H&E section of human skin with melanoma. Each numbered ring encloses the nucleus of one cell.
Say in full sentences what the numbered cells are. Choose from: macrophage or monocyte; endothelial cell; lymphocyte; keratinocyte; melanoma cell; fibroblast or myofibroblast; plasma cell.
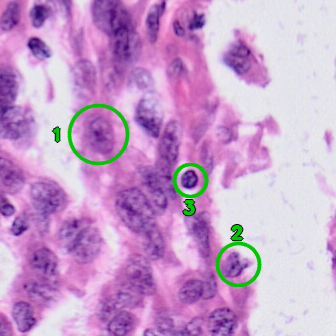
Cell 1 is a melanoma cell, cell 2 is a macrophage or monocyte and cell 3 is a lymphocyte.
